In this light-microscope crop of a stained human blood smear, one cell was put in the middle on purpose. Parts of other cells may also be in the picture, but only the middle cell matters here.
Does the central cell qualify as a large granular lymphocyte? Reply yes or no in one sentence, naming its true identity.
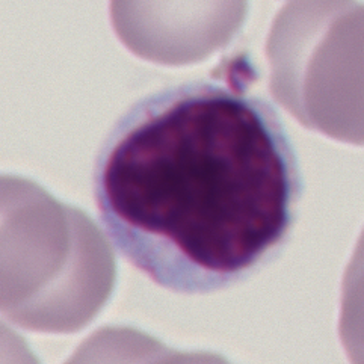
No, the central cell does not represent a large granular lymphocyte, but a typical lymphocyte.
